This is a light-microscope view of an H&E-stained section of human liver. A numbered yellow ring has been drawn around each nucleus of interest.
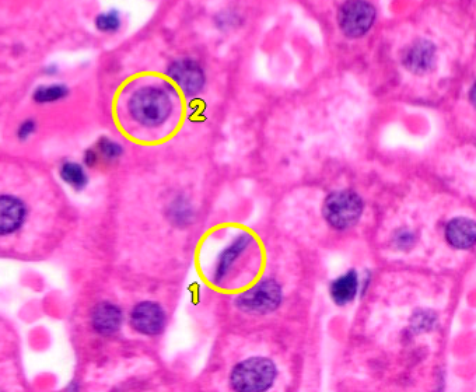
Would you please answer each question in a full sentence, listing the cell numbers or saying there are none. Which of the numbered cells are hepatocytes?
Only the cell with number 2 is a hepatocyte.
